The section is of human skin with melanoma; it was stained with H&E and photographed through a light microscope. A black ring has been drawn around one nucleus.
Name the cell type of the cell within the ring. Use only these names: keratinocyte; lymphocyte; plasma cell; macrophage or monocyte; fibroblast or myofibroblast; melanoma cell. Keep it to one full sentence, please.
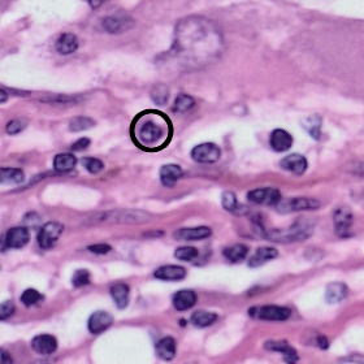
Considered by cell type, the cell within the ring is a plasma cell.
